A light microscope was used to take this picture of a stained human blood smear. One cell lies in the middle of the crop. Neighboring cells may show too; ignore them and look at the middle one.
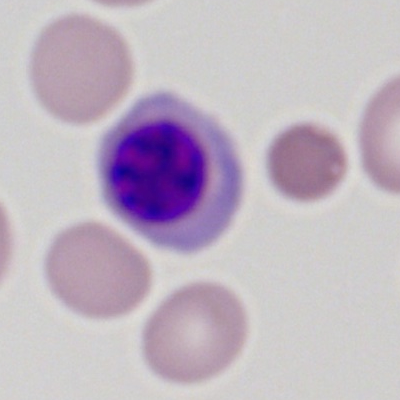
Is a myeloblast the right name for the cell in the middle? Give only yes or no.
no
